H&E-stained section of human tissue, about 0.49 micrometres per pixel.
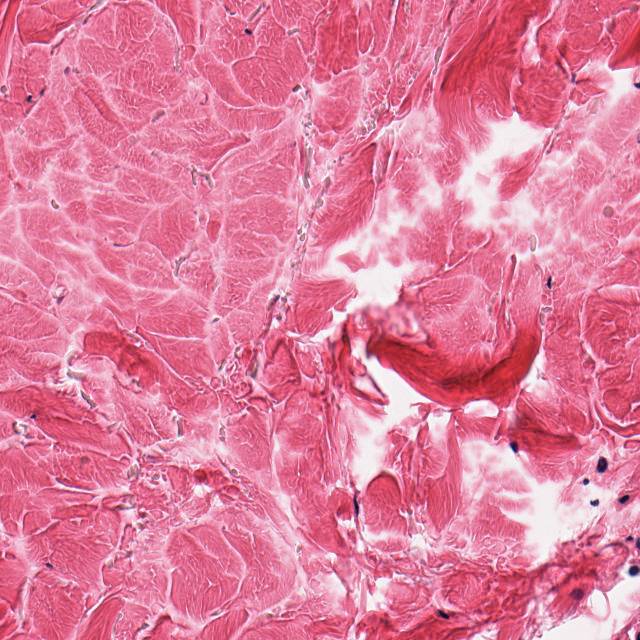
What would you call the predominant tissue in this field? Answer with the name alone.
dermis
